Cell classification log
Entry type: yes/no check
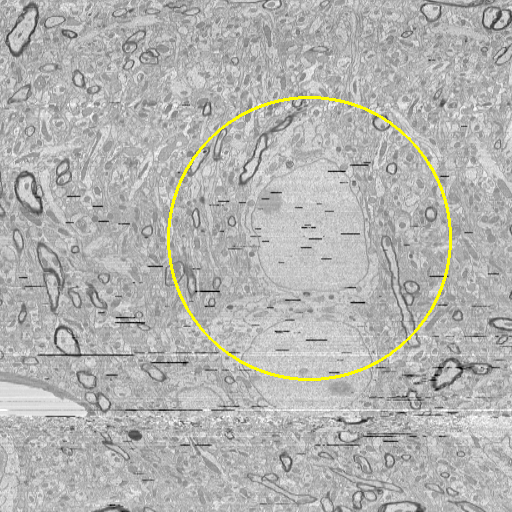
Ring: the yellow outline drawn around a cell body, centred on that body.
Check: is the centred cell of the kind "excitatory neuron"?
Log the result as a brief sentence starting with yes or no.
Yes, the cell is of that kind.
